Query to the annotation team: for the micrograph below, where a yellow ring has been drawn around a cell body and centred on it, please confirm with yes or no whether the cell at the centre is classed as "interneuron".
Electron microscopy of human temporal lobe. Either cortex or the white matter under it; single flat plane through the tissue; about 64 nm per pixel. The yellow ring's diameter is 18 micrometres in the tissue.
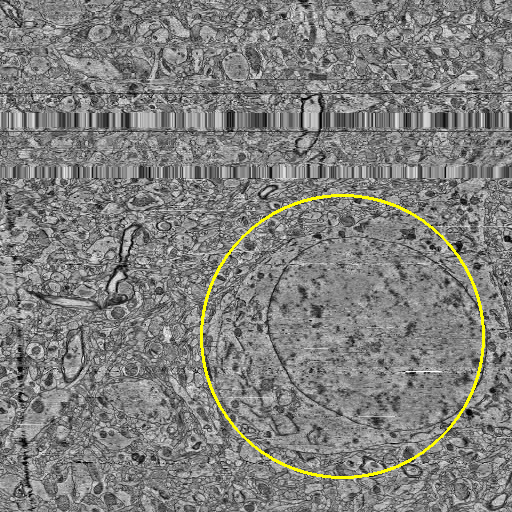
No, it belongs to another class.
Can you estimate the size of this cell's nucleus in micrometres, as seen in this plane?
In this plane, the nucleus is roughly 15 by 12 micrometres.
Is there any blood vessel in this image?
No, none appears.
